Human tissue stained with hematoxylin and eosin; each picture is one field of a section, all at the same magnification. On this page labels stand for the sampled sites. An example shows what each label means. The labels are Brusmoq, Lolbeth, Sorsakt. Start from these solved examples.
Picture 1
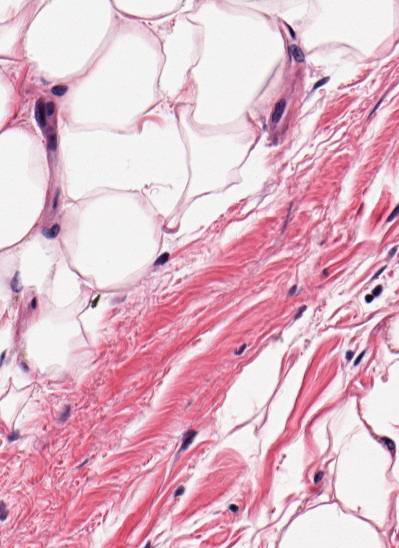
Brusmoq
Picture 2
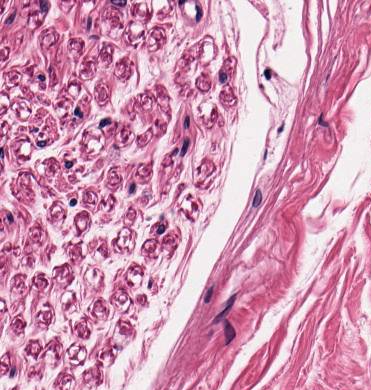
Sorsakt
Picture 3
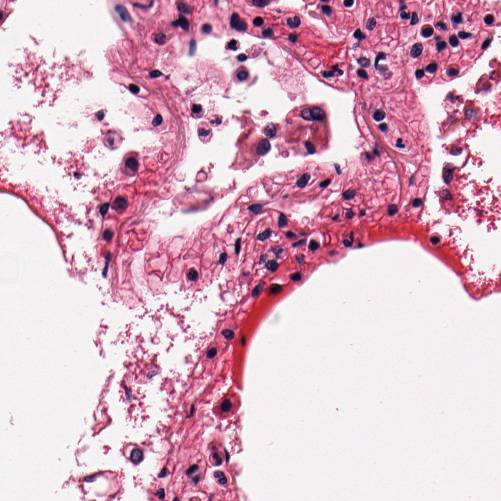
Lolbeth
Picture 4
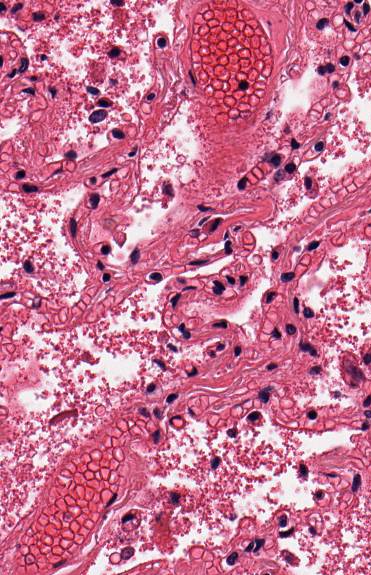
Lolbeth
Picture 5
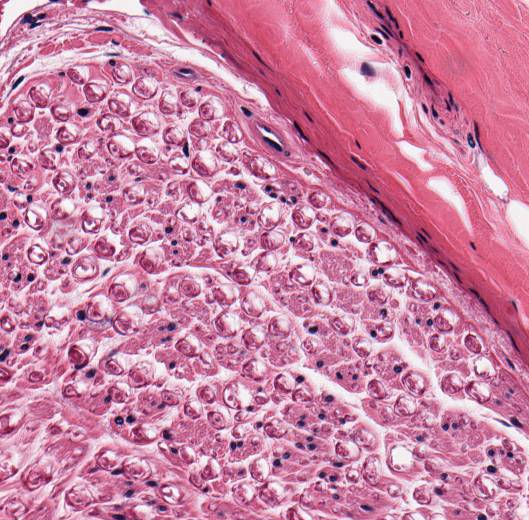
Sorsakt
